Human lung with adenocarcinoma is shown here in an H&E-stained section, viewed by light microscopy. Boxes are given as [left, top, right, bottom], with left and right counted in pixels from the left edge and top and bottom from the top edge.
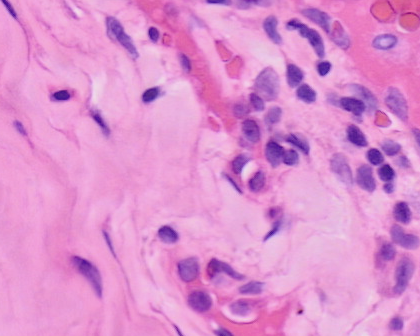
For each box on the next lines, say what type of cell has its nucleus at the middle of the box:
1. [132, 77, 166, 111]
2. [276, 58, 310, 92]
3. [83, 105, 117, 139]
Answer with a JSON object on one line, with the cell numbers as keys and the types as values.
{"1": "lymphocyte", "2": "lymphocyte", "3": "fibroblast"}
